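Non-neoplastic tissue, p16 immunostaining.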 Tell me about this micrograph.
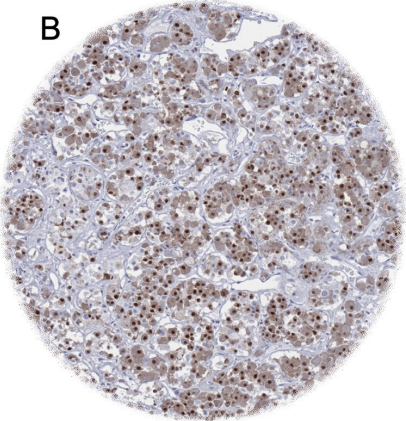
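The section shows epithelial cells of the adenohypophysis arranged in nests and cords separated by thin bluish fibrovascular septa. The cells are rounded to polygonal with moderate amounts of cytoplasm. A large proportion of the cells show dark brown nuclei, and many also have light brown cytoplasm. Small clear spaces and thin-walled vessels lie between the cell nests.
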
